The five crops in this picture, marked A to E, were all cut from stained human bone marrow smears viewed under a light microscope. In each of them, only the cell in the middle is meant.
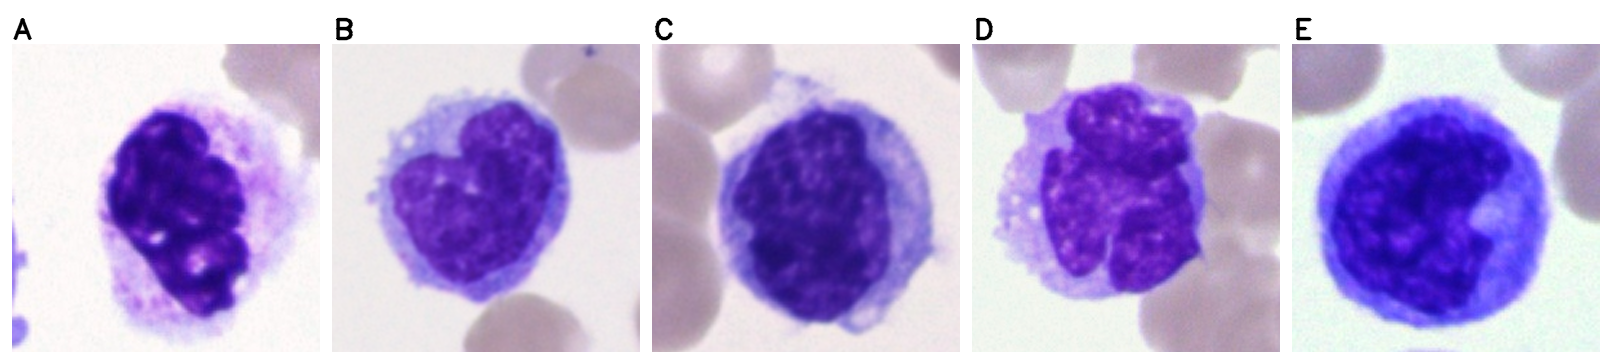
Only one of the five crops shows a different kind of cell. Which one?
A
